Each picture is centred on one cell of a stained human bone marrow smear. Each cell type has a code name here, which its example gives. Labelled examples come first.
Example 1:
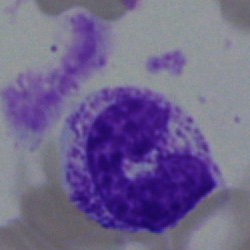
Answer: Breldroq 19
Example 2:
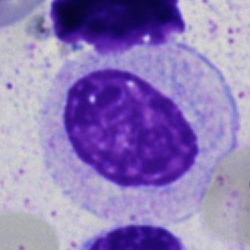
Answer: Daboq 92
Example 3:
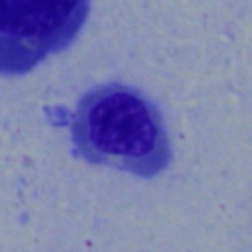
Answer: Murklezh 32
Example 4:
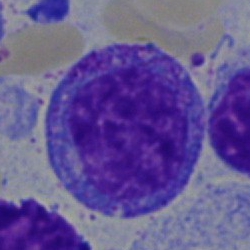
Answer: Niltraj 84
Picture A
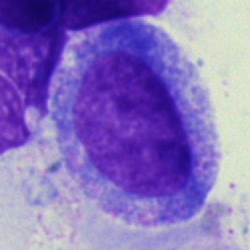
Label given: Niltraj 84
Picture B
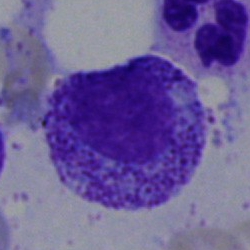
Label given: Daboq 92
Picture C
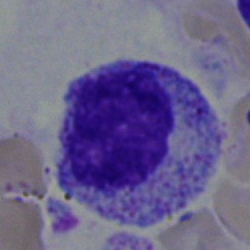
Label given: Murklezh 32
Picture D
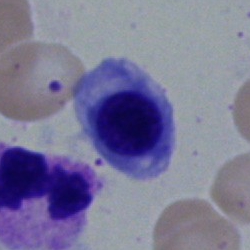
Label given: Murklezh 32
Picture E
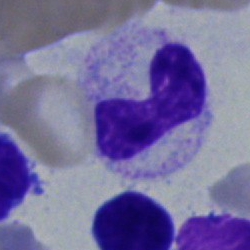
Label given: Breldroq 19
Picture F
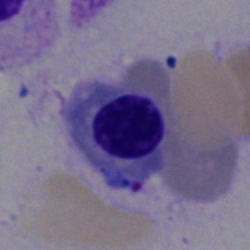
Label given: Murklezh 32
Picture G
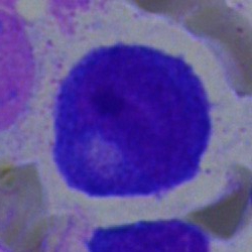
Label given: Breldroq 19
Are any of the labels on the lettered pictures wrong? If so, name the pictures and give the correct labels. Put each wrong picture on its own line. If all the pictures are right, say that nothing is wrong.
C: change Murklezh 32 to Daboq 92
G: change Breldroq 19 to Niltraj 84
